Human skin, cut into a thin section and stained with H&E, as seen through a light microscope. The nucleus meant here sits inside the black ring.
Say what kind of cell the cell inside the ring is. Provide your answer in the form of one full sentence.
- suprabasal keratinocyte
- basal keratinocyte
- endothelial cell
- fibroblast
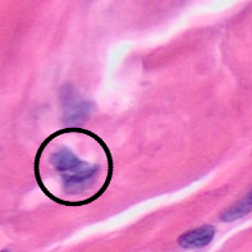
In this field of tissue, the cell inside the ring is a fibroblast.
